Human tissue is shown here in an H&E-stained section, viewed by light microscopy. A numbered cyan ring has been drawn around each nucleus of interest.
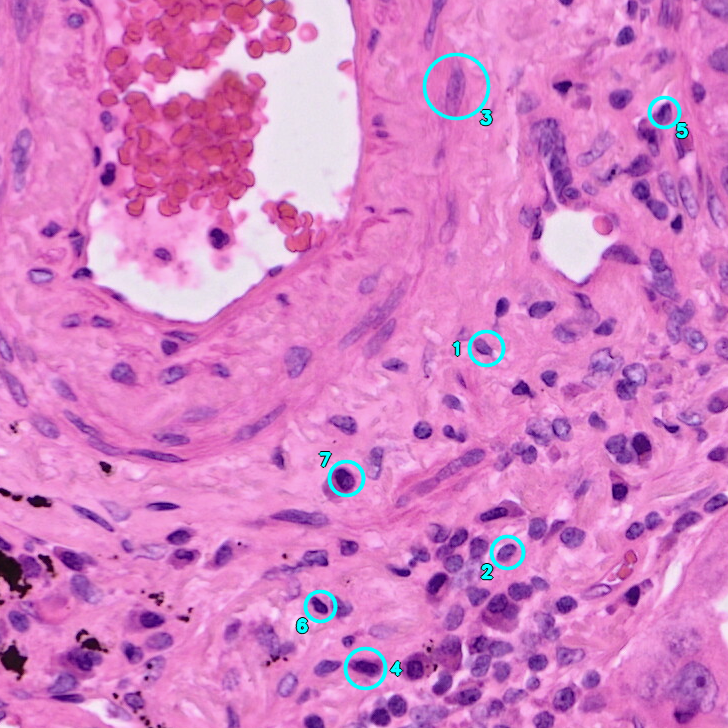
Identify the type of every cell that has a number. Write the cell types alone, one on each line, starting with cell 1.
lymphocyte
lymphocyte
smooth muscle cell or pericyte
plasma cell
lymphocyte
lymphocyte
plasma cell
